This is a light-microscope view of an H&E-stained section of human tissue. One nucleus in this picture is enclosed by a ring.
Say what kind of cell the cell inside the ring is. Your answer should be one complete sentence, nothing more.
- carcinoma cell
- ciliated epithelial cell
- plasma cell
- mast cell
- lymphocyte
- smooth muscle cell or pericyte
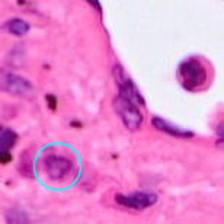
By its classification, the cell inside the ring is a plasma cell.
